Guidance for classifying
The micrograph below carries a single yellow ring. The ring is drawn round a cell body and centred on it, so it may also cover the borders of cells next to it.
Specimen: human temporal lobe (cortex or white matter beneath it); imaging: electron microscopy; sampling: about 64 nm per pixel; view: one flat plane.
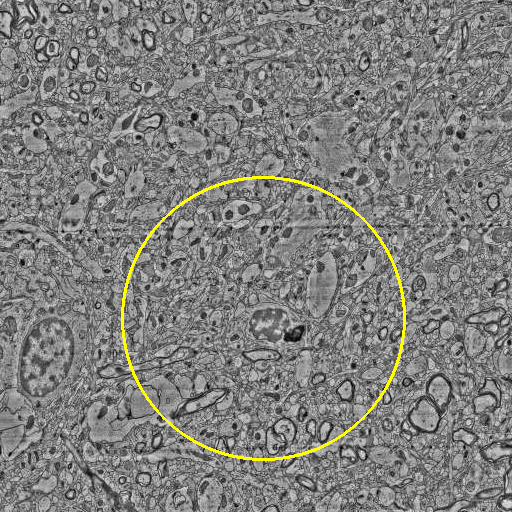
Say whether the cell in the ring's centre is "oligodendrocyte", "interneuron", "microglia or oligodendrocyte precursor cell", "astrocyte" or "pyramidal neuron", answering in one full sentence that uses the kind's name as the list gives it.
Within the yellow ring, a microglial cell or oligodendrocyte precursor cell is the cell whose body sits at the centre.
